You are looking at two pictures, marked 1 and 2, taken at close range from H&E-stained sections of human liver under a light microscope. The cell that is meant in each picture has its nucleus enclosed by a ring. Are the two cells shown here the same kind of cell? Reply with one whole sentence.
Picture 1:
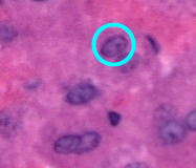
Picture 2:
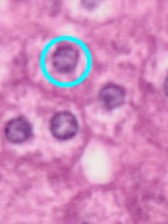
Yes, they are the same type: both are hepatocytes.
